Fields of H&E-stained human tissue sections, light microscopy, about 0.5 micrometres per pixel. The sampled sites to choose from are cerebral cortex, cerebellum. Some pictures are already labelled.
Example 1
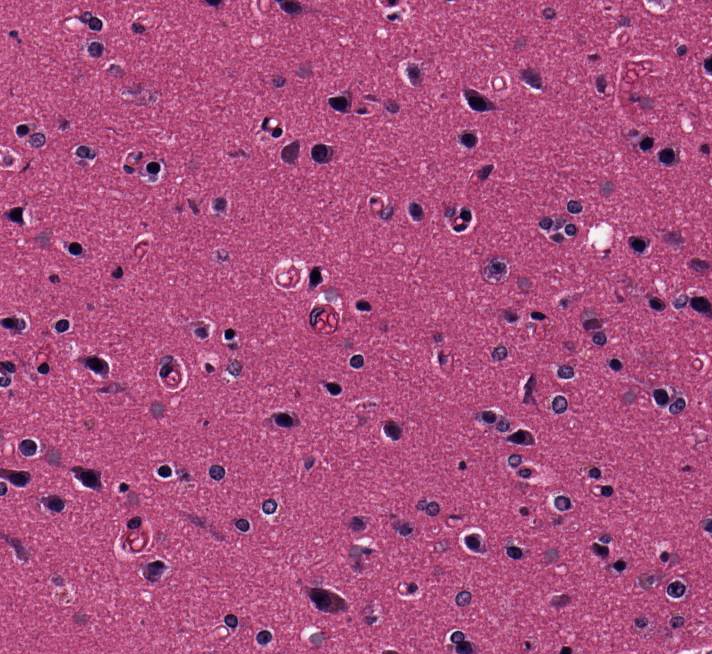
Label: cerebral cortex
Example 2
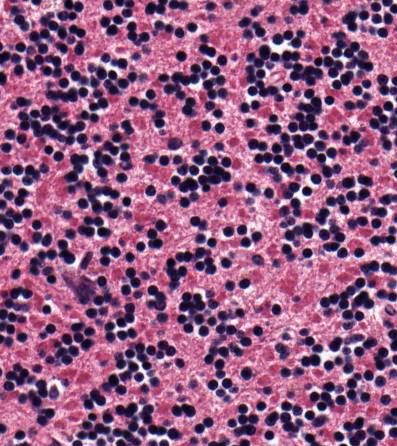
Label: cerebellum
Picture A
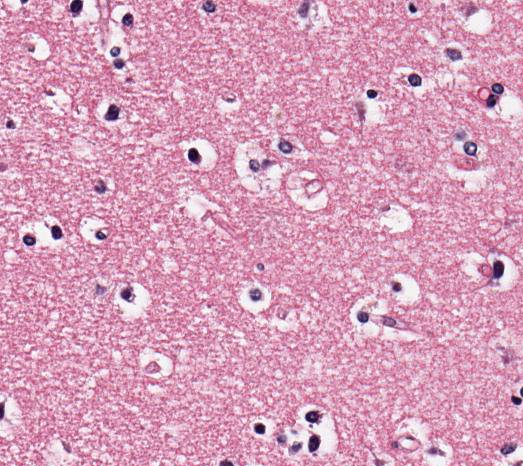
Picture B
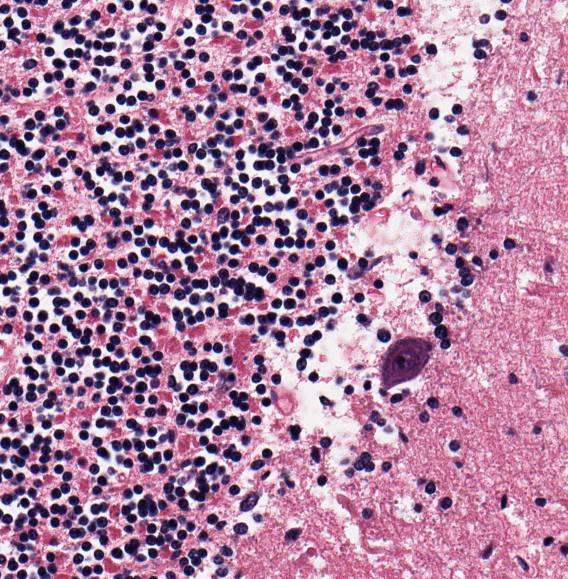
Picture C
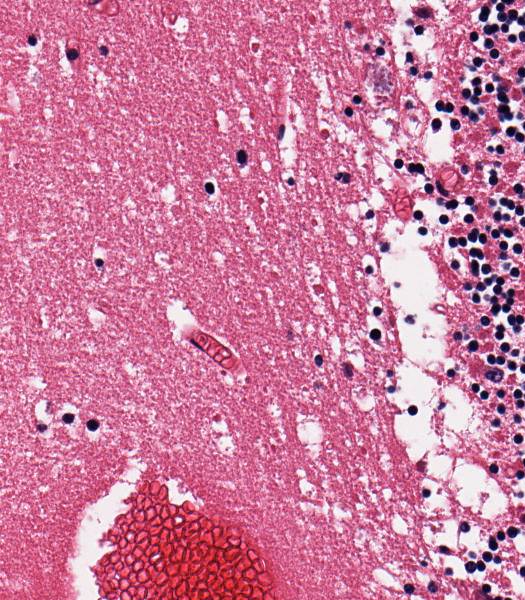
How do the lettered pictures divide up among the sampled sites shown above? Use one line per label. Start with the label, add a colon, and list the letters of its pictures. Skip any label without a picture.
cerebral cortex: A
cerebellum: B, C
